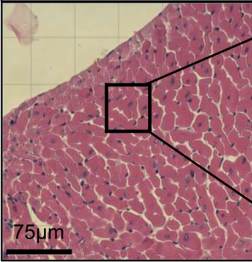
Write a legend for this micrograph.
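This is heart muscle seen in cross section, made of closely packed cardiomyocytes with pink cytoplasm. The muscle fibres appear as polygonal profiles separated by thin pale clefts. Small dark purple nuclei are scattered among them, some lying within the fibres and others, more elongated, in the spaces between. The edge of the tissue runs along the upper left, beyond which lies an empty pale background.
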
